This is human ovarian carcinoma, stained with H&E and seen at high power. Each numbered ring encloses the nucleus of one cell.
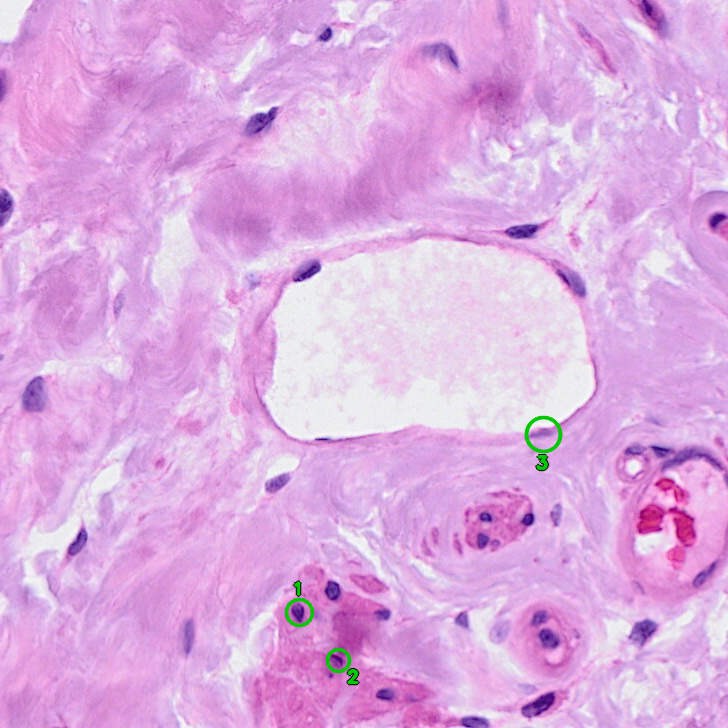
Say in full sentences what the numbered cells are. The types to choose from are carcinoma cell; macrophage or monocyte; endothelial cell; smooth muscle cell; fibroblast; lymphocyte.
Cells 1 and 2 are smooth muscle cells. Cell 3 is an endothelial cell.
